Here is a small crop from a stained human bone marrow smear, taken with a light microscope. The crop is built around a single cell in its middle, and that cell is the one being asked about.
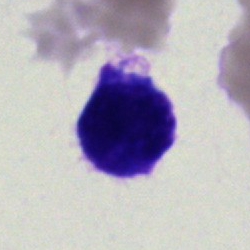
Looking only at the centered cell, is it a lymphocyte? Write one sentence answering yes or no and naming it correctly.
No, the central cell is not a lymphocyte; it is a blast.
